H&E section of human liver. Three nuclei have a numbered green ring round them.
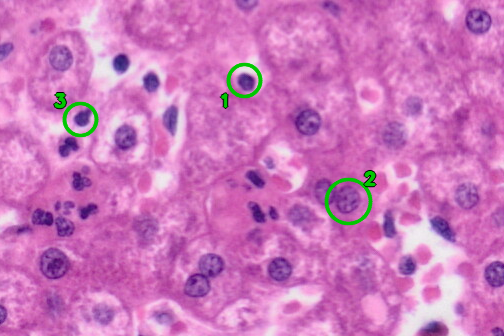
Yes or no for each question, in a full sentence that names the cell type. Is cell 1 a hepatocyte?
No, number 1 belongs to a lymphocyte, not to a hepatocyte.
